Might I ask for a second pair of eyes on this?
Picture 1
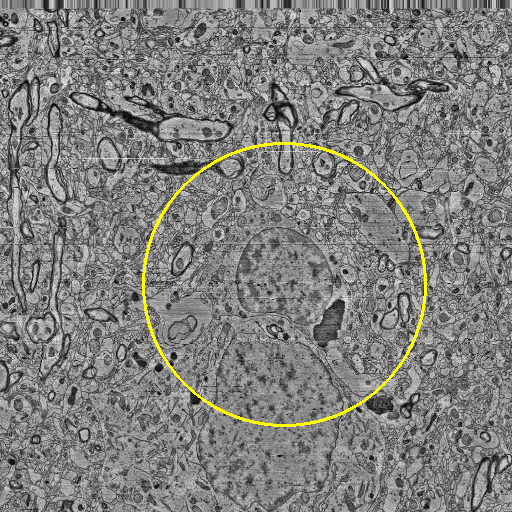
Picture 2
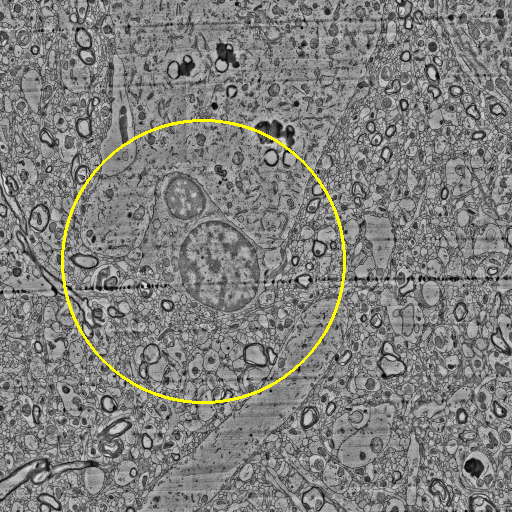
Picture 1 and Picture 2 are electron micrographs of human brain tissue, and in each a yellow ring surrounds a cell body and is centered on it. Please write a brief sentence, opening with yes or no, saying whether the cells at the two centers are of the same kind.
Yes, the cells are of the same kind.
